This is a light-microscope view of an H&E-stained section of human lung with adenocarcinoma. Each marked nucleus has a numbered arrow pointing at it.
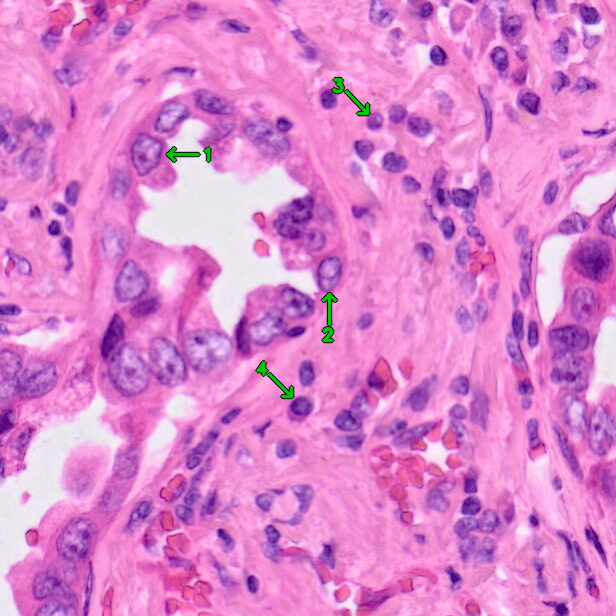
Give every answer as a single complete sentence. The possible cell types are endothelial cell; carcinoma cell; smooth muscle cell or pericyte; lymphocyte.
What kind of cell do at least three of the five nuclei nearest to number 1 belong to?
Carcinoma cells account for more than half of the five nuclei nearest to number 1.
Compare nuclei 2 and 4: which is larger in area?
The larger nucleus is 2, at roughly 3 times the area of 4.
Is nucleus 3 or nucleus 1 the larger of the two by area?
It is nucleus 1, which covers about 4 times the area of nucleus 3.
